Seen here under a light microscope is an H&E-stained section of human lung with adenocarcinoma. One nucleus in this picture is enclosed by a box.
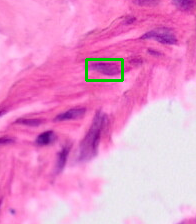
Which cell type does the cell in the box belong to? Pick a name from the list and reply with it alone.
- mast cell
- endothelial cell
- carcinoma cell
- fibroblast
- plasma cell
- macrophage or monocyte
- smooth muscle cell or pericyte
smooth muscle cell or pericyte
